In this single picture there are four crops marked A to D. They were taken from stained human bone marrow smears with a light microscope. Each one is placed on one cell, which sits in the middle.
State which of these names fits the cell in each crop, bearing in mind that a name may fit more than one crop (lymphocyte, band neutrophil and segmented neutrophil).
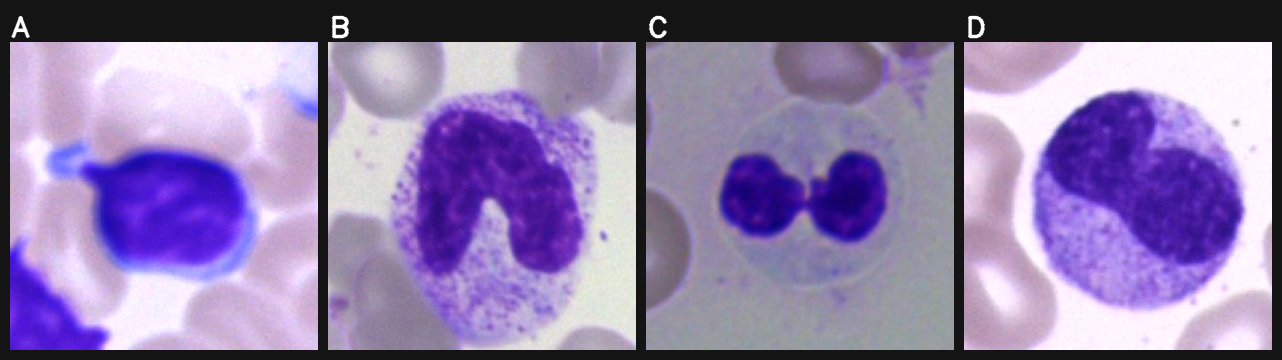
A: lymphocyte
B: band neutrophil
C: segmented neutrophil
D: band neutrophil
